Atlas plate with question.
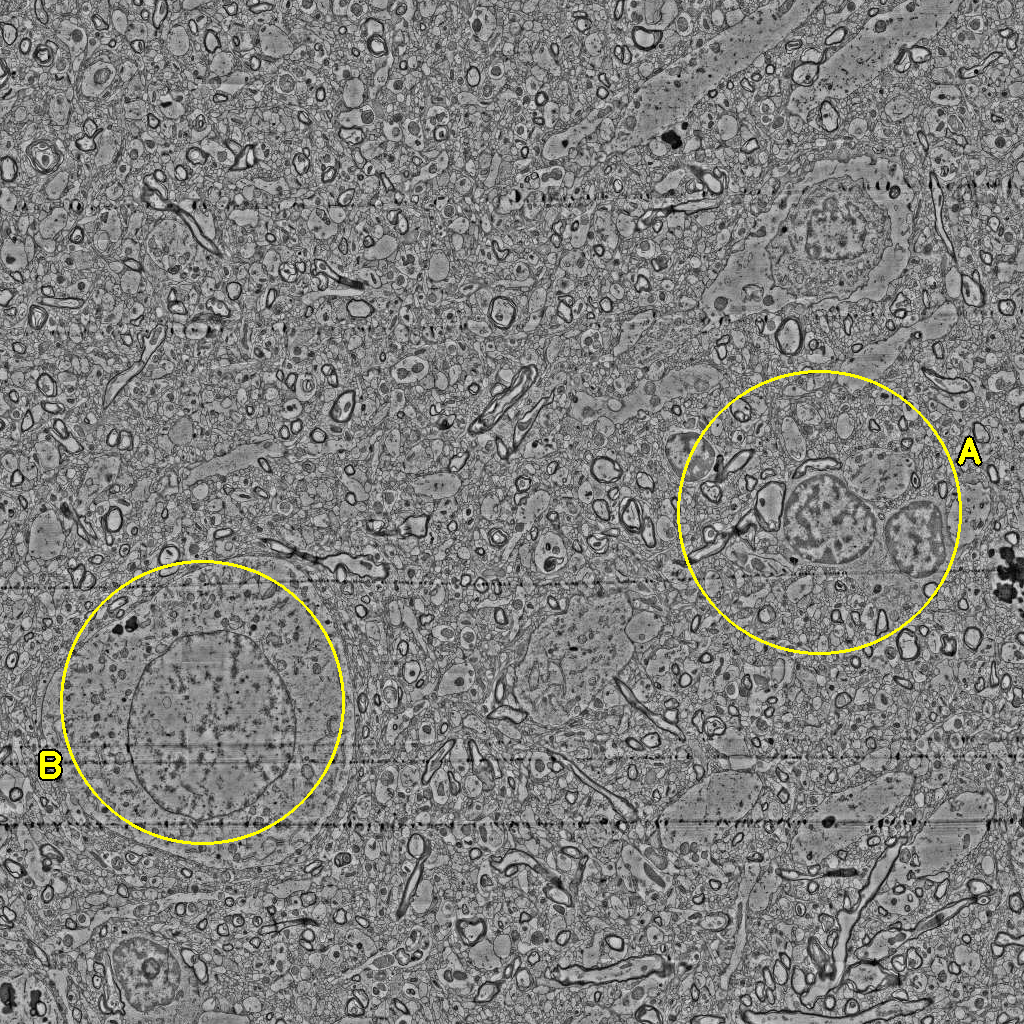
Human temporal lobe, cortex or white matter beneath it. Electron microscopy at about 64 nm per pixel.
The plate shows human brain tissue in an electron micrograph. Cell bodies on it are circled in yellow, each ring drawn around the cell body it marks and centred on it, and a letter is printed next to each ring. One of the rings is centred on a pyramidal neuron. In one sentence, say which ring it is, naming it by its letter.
It is ring B.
